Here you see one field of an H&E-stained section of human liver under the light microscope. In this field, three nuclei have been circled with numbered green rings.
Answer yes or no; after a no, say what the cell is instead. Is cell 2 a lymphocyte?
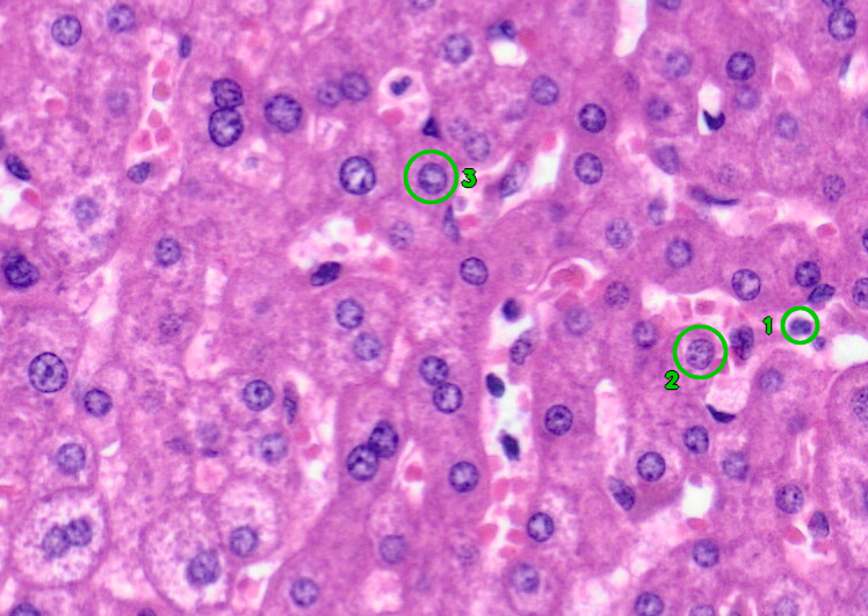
No, it is a hepatocyte.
